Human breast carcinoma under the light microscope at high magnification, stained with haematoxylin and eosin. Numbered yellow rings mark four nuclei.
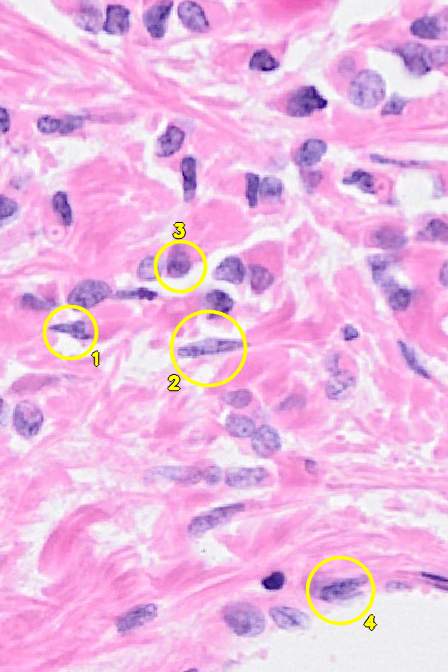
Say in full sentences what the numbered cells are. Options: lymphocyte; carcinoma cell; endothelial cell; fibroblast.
Cells 1 and 2 are fibroblasts. Cell 3 is a carcinoma cell. Cell 4 is an endothelial cell.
